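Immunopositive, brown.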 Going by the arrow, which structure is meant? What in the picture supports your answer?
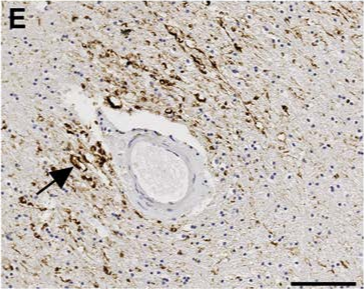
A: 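The arrow points to brown, swollen, rounded and beaded profiles. Elongated brown fibres with bulbous swellings run through the tissue near the vessel.
Answer: Axonal bulbs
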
